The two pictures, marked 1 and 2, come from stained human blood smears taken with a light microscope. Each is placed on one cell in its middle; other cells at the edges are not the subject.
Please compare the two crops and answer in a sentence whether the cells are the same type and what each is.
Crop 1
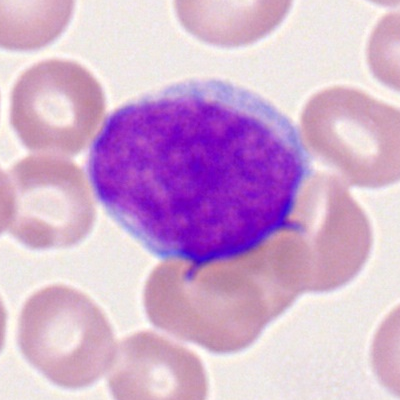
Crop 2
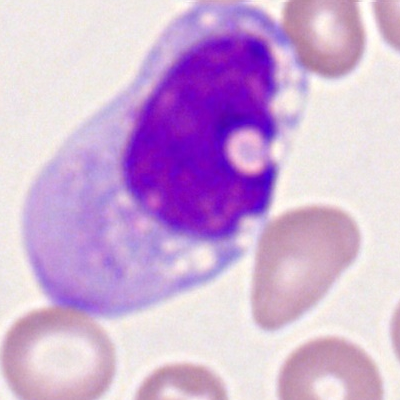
No, it is in crop 1 that a blast is shown, and in crop 2 that a monocyte is shown.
